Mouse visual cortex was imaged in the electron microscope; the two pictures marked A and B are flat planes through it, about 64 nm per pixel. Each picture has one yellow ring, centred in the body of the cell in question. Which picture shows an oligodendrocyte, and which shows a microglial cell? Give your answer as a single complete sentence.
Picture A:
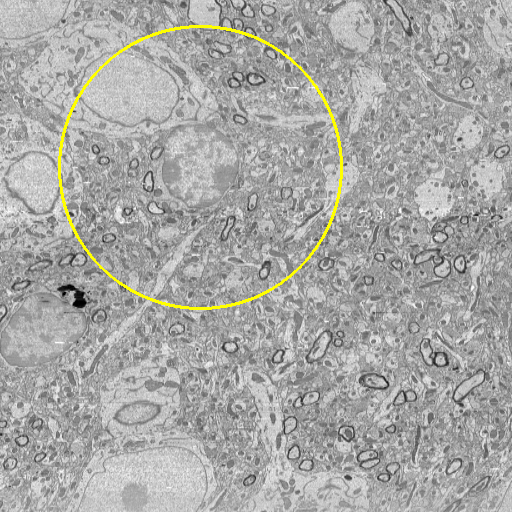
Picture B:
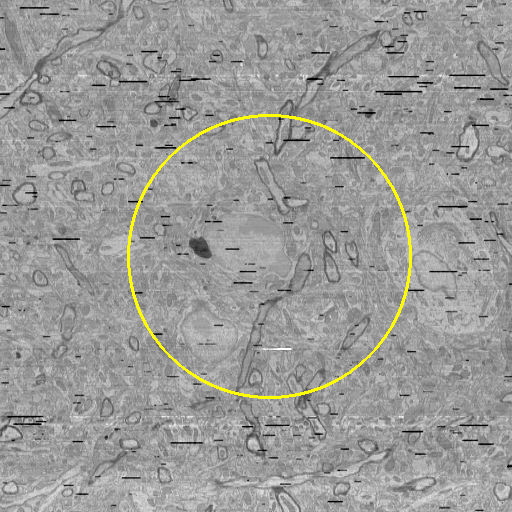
Picture A shows an oligodendrocyte and picture B shows a microglial cell.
